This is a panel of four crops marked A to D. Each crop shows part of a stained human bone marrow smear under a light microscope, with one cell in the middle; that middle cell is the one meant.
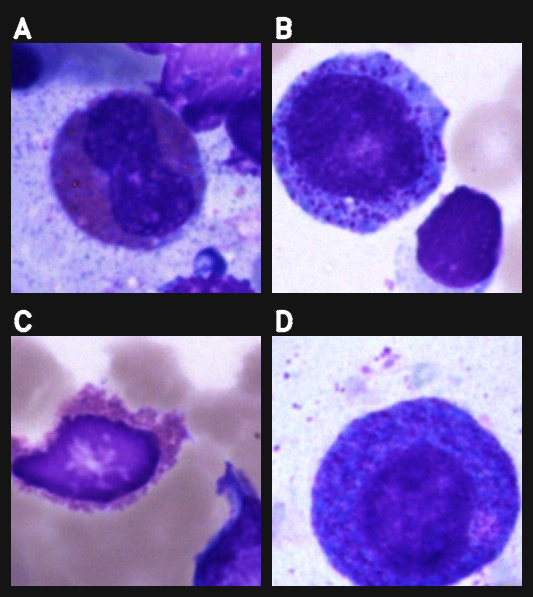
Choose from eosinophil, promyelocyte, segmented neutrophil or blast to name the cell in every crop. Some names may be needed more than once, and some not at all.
A: eosinophil
B: promyelocyte
C: eosinophil
D: promyelocyte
